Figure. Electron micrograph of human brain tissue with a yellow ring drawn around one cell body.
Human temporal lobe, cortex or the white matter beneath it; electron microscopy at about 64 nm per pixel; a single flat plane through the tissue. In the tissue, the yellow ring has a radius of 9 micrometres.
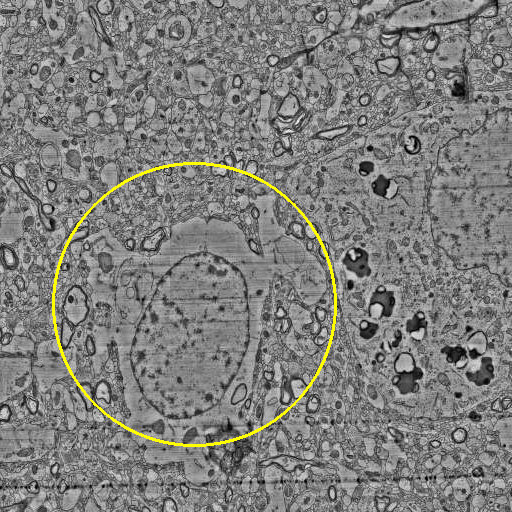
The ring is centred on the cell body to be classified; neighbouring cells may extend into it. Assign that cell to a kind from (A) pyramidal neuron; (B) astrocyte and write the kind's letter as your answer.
B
